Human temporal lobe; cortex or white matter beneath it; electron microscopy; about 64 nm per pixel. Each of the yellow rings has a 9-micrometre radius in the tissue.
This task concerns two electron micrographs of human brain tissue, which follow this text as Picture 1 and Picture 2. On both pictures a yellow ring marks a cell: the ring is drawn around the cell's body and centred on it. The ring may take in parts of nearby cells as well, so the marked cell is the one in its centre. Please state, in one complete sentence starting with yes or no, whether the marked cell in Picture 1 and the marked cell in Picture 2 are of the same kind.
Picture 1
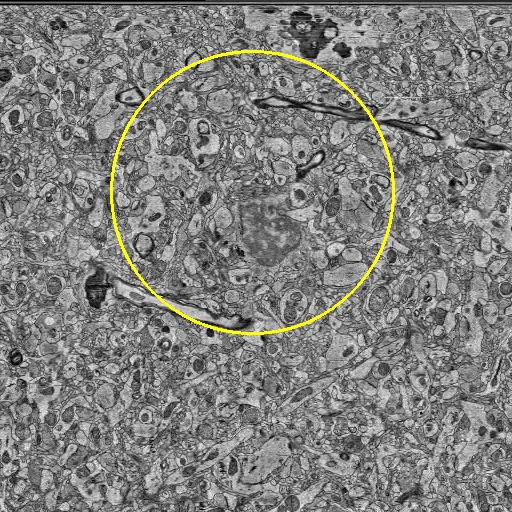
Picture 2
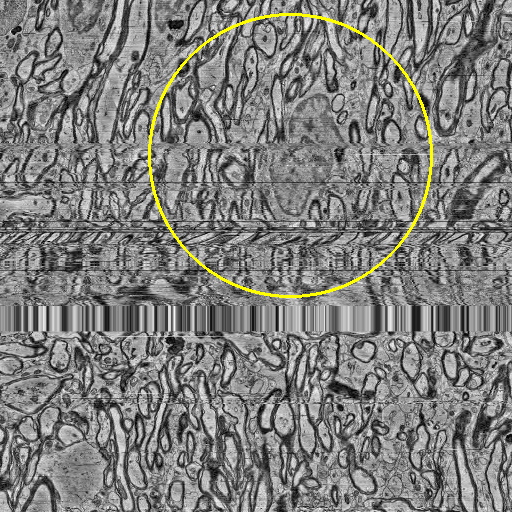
Yes, the marked cells in both pictures are of the same kind.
